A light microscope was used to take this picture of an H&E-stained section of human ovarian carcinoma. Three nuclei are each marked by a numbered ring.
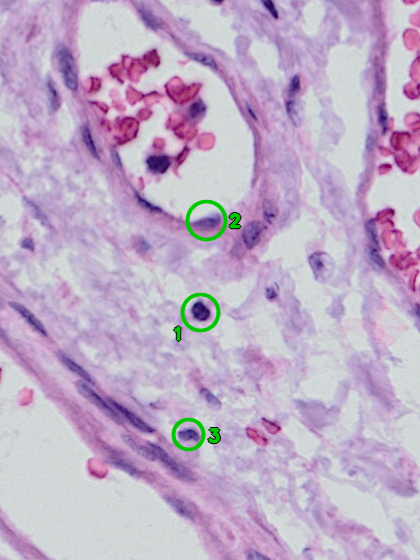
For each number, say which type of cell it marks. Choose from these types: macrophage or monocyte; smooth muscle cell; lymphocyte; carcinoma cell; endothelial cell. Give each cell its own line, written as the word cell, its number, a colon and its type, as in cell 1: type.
cell 1: lymphocyte
cell 2: endothelial cell
cell 3: lymphocyte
